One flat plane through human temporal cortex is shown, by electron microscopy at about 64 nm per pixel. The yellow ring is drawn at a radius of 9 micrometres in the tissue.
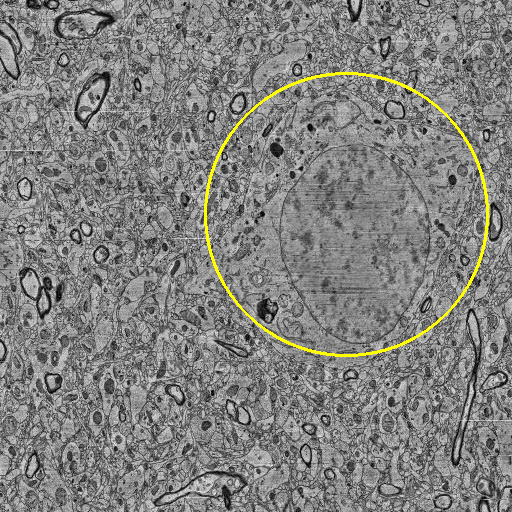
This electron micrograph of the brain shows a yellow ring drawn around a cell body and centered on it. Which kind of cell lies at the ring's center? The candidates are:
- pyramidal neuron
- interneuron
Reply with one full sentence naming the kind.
The cell lying at the ring's center in this micrograph is a pyramidal neuron.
